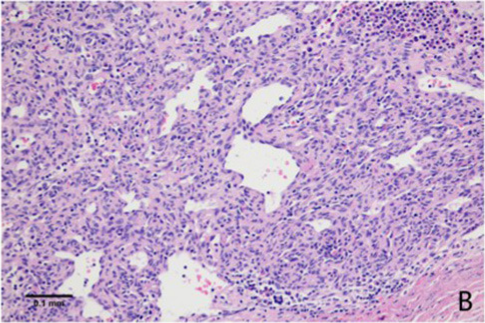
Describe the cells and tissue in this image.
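Tumor tissue made of small, oval to spindled cells with bland, evenly stained nuclei and pale pink cytoplasm, partly arranged in short fascicles. The cells surround irregular, slit-like and dilated vascular spaces, some holding red blood cells. A dense cluster of small round dark-nucleated lymphocytes lies at the upper right, and pink fibrous or muscular tissue borders the lower right corner.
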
